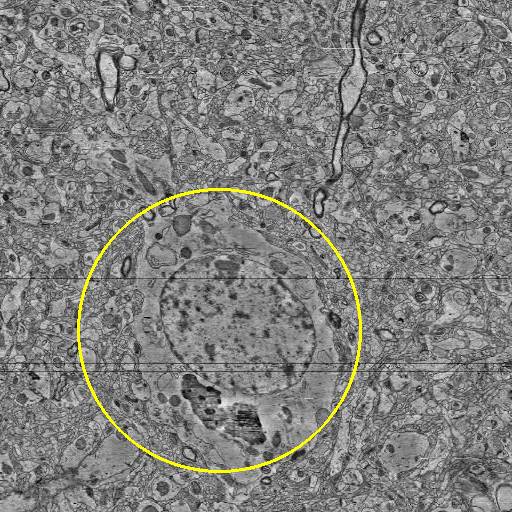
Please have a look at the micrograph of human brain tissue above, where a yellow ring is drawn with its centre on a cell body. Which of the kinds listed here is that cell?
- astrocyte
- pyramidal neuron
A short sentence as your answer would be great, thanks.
At the centre of the ring sits an astrocyte.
